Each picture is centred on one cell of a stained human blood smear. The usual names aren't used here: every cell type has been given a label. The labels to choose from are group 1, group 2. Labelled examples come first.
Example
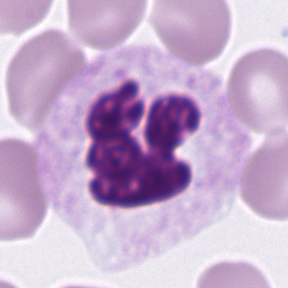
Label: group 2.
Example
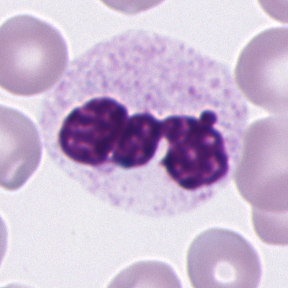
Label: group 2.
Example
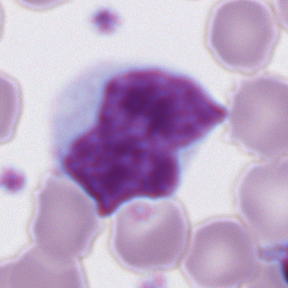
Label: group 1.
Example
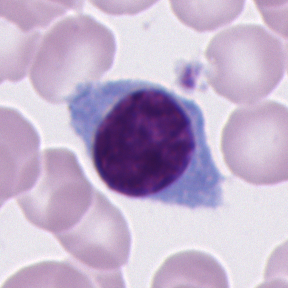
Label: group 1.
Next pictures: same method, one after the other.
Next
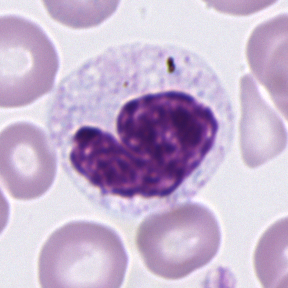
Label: group 2.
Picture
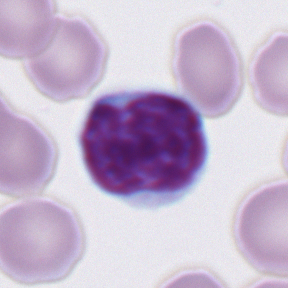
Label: group 1.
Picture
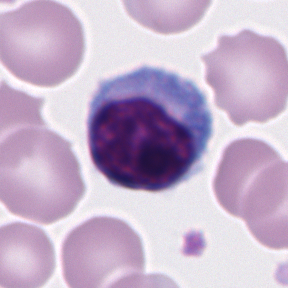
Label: group 1.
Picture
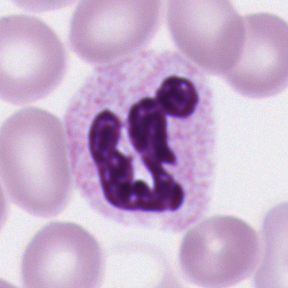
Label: group 2.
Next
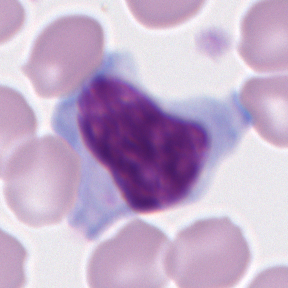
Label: group 1.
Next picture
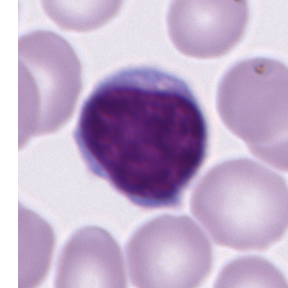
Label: group 1.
